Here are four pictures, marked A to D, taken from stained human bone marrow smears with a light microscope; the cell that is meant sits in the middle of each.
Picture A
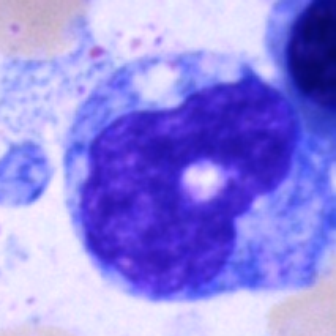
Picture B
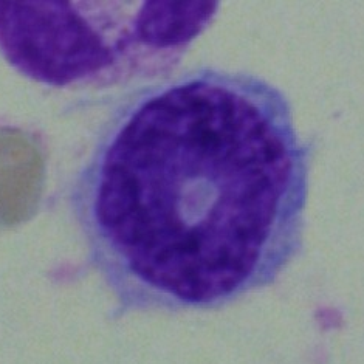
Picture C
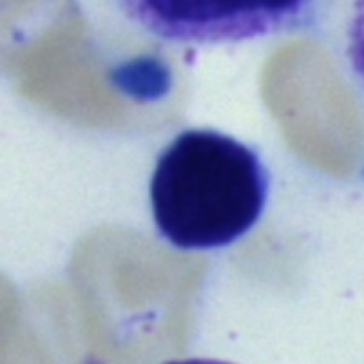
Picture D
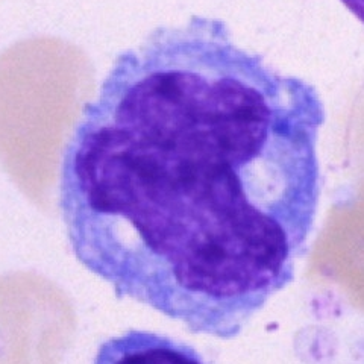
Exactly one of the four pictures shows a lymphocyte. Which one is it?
C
